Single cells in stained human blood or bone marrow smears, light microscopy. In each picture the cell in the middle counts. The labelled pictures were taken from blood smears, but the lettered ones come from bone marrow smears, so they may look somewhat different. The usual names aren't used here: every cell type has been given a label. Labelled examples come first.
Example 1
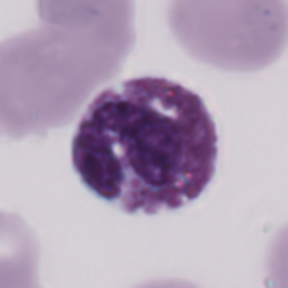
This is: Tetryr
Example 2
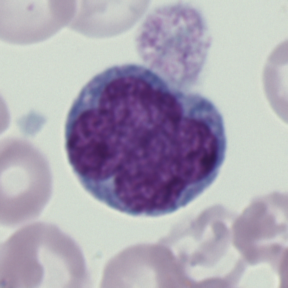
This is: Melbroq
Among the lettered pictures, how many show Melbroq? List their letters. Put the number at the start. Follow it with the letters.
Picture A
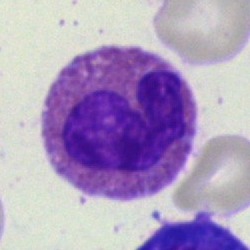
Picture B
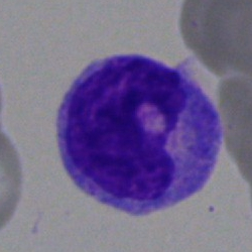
1, namely B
